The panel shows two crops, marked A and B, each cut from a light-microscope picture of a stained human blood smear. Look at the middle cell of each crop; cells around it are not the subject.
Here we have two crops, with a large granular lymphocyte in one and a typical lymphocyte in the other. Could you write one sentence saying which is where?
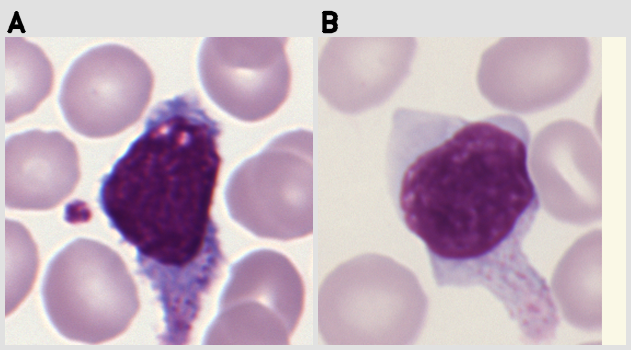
Crop A is occupied by a typical lymphocyte, and crop B is occupied by a large granular lymphocyte.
